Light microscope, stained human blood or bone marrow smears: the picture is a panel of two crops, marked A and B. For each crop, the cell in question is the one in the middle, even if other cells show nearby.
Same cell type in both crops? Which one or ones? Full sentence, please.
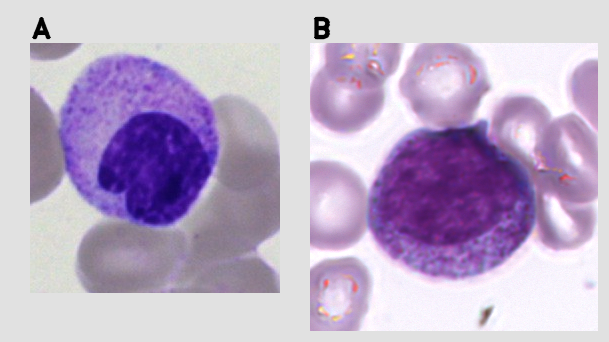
No, a metamyelocyte lies at the centre of crop A, and a myelocyte lies at the centre of crop B.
